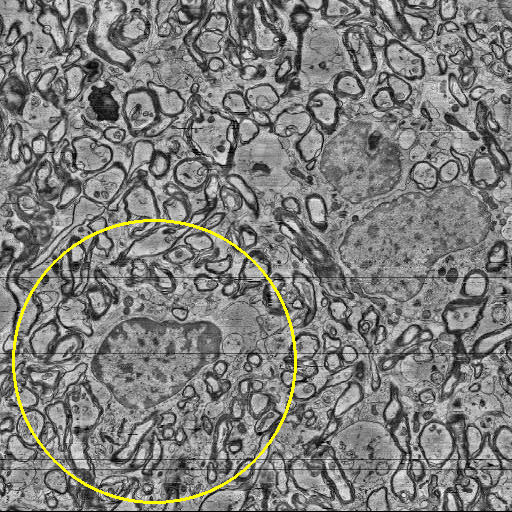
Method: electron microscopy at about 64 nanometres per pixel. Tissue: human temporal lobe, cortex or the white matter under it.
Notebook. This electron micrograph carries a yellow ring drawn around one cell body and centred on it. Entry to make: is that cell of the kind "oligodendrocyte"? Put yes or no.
no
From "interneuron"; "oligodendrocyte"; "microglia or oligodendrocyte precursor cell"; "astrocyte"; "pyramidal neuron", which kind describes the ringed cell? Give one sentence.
The correct answer is that the cell is a microglial cell or oligodendrocyte precursor cell.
